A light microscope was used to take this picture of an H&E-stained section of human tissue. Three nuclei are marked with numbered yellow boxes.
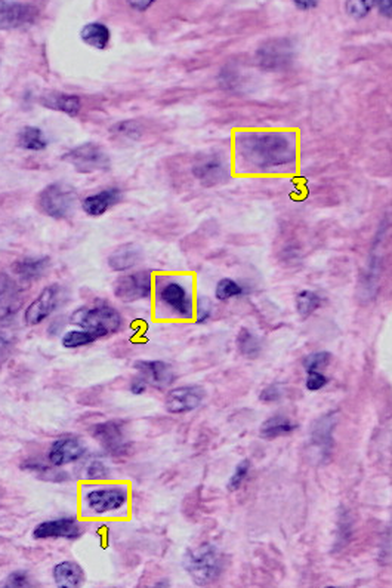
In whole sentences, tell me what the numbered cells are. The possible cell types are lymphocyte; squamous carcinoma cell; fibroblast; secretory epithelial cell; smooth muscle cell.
Cells 1 and 2 are lymphocytes. Cell 3 is a fibroblast.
